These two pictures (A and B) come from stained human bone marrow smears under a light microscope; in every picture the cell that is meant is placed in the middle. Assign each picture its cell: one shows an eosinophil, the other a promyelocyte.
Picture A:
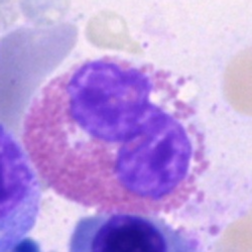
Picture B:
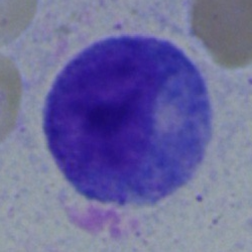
A: eosinophil
B: promyelocyte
